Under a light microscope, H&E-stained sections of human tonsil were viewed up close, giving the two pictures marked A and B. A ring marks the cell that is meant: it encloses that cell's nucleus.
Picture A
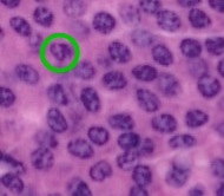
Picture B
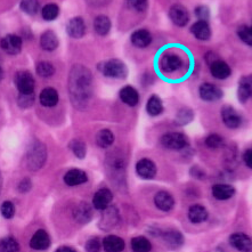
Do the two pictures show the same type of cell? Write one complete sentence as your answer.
Yes; the cells in both pictures are plasma cells.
